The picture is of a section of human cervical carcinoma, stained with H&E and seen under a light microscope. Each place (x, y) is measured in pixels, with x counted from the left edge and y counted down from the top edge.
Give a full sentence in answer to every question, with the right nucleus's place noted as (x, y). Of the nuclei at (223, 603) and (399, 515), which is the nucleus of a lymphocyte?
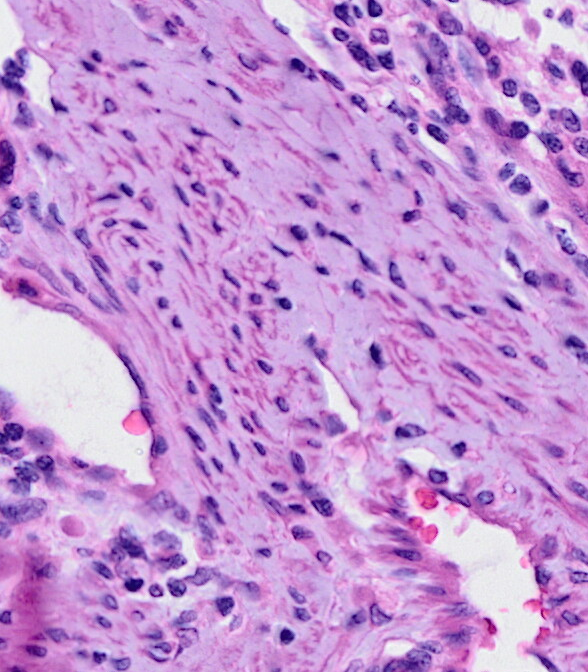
The nucleus at (223, 603), rather than the other, belongs to a lymphocyte.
